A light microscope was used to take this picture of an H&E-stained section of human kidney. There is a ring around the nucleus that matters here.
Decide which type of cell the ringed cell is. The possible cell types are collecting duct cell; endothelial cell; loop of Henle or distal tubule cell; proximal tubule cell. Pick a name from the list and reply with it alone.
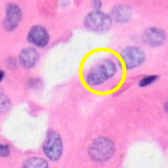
collecting duct cell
